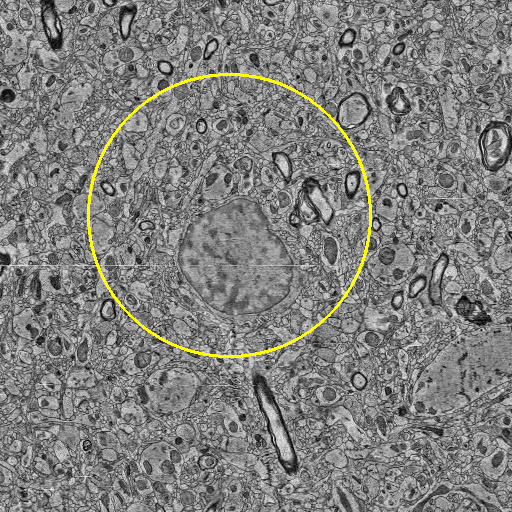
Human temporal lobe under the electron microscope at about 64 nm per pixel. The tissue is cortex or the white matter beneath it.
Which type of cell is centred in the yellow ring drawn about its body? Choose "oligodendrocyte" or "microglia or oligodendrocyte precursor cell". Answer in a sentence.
The yellow ring surrounds the cell body of an oligodendrocyte.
